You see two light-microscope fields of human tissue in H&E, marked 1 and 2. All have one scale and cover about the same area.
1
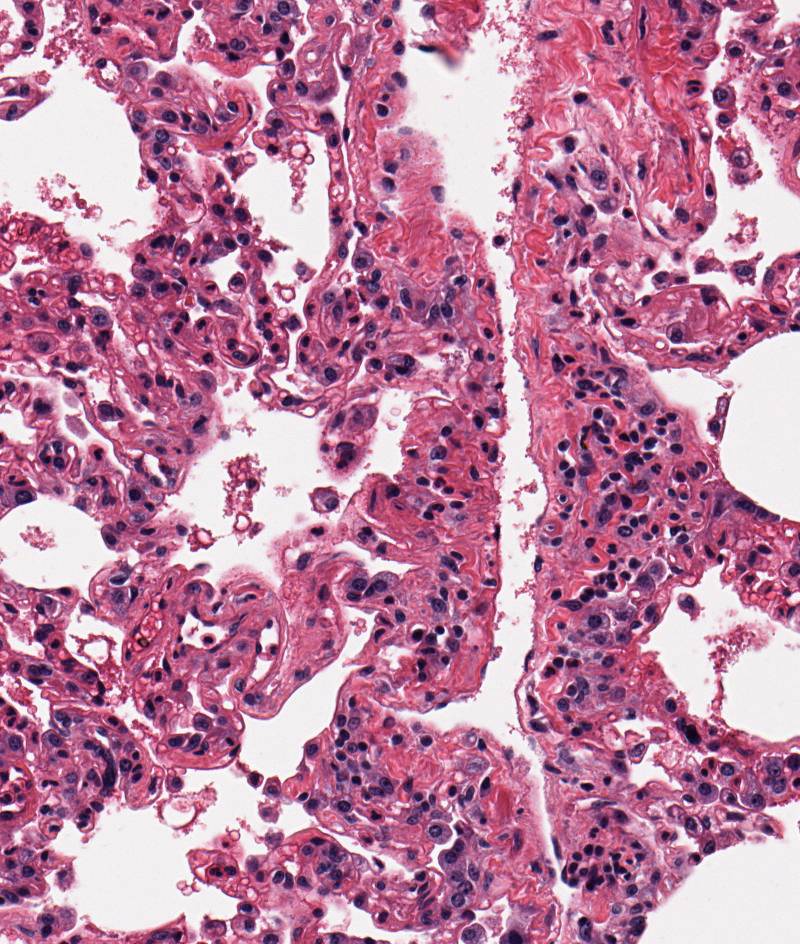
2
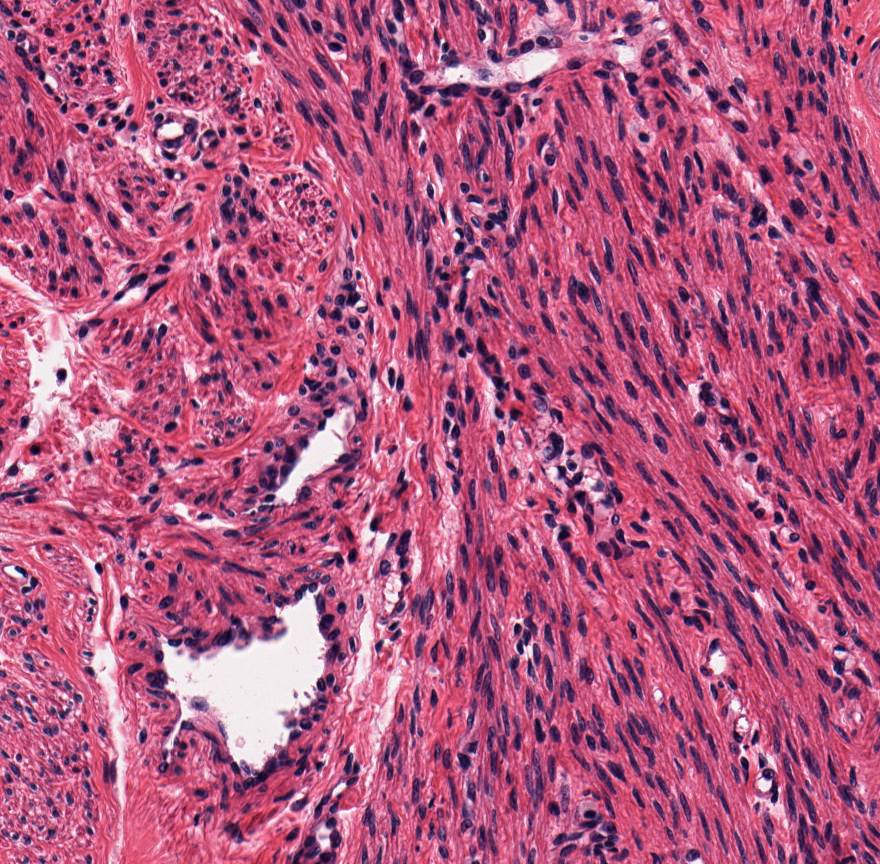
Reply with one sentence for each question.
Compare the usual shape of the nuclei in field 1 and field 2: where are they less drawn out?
The nuclei are rounder in field 1.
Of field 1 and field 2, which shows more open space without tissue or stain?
Field 1 has more white space.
